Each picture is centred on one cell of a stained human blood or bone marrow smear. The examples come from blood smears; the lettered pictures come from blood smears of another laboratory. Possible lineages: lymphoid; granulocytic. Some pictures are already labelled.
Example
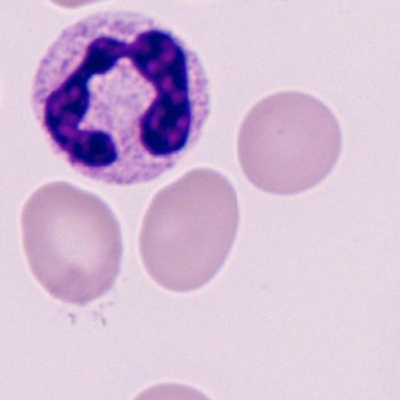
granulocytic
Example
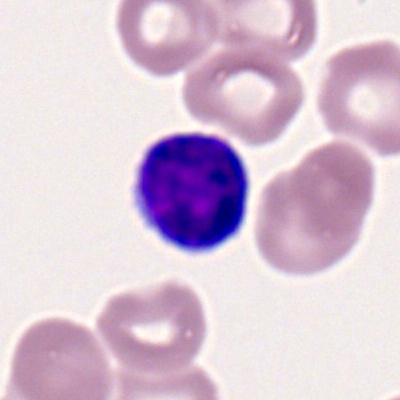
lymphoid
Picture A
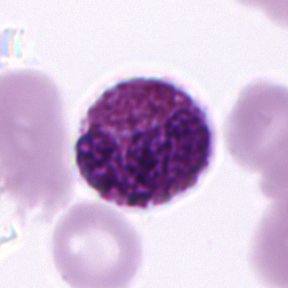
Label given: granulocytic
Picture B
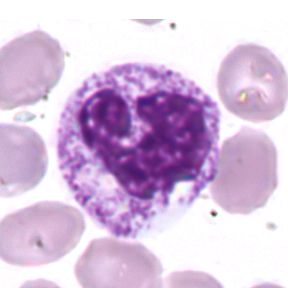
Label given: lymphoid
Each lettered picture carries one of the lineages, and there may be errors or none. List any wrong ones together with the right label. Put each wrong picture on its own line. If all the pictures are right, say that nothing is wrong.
B: not lymphoid but granulocytic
